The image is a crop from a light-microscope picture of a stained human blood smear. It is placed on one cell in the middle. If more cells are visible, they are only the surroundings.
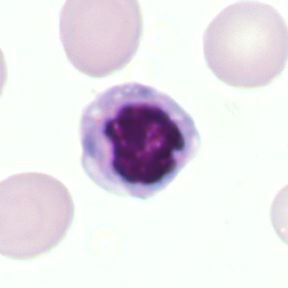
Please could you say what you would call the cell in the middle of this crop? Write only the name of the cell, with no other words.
normoblast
